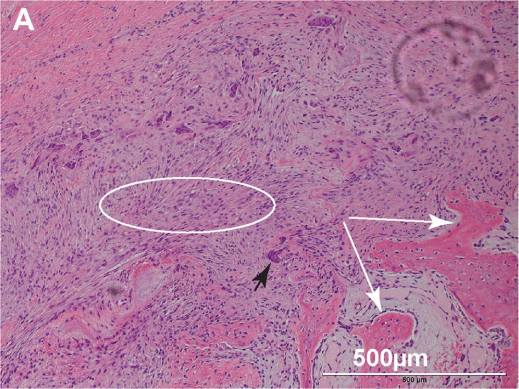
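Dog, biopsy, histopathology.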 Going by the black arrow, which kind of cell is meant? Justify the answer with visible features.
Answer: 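A large cell with several dark nuclei.
Osteoclasts.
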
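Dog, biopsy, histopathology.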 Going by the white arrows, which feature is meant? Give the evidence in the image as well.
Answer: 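Woven bone trabeculae. Irregular deep pink matrix strands. Cells line their surfaces. Loose spindle-cell tissue lies between them.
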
